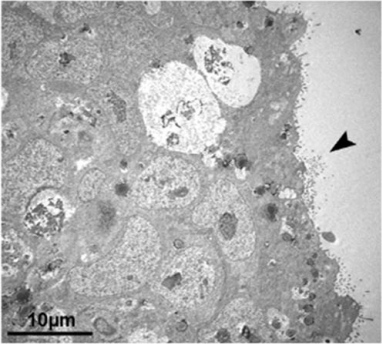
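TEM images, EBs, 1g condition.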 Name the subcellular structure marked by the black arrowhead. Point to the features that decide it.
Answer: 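The arrowhead points at the free outer surface of the cell mass facing empty space. Fine short projections fringe that outer surface. On this evidence: apical microvilli.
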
